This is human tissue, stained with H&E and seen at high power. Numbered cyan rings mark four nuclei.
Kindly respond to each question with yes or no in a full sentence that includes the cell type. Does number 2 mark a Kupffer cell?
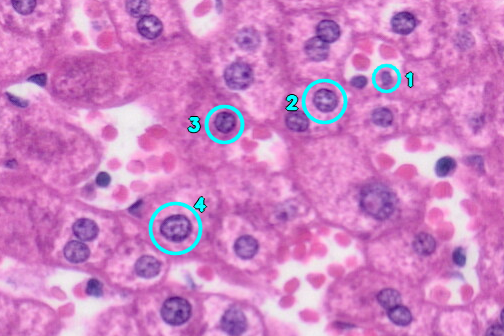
No, not a Kupffer cell: the cell with number 2 is a hepatocyte.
